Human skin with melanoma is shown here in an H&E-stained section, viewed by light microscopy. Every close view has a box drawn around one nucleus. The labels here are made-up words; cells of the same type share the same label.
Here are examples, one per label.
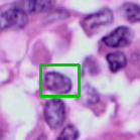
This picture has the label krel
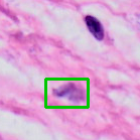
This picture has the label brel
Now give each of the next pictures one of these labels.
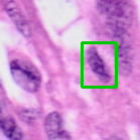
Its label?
krel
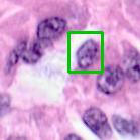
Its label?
krel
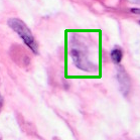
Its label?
brel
